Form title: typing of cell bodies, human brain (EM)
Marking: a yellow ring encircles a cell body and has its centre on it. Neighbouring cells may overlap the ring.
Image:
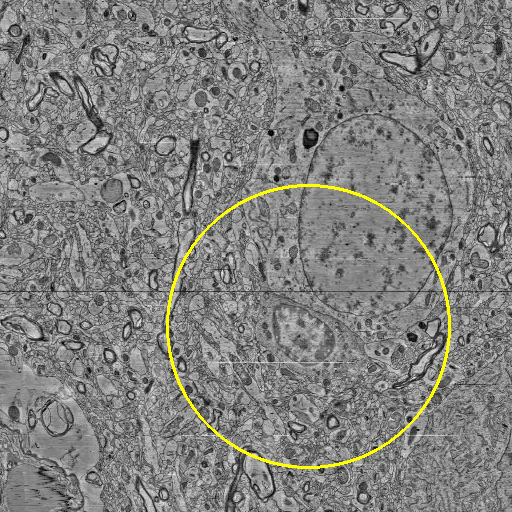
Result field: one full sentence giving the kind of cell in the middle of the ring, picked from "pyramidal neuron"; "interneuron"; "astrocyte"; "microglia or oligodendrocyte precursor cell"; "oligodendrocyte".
In the picture, the ring is centred on an oligodendrocyte, whose cell body it encircles.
